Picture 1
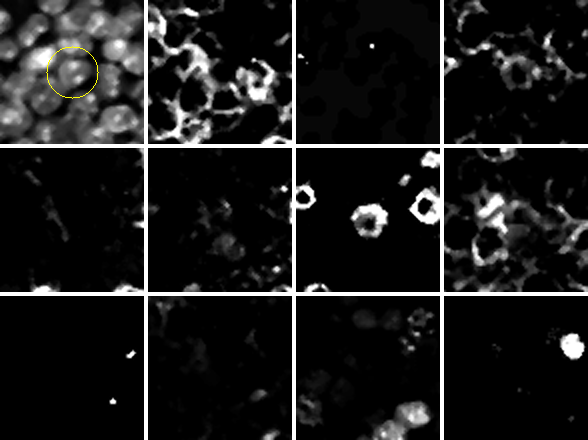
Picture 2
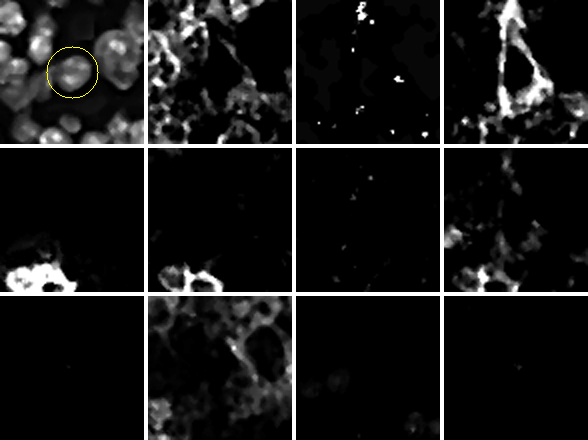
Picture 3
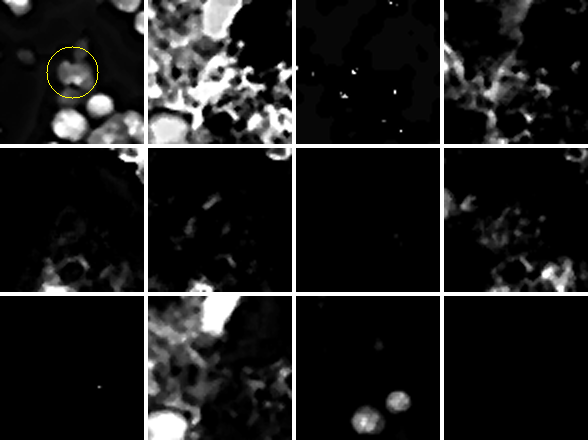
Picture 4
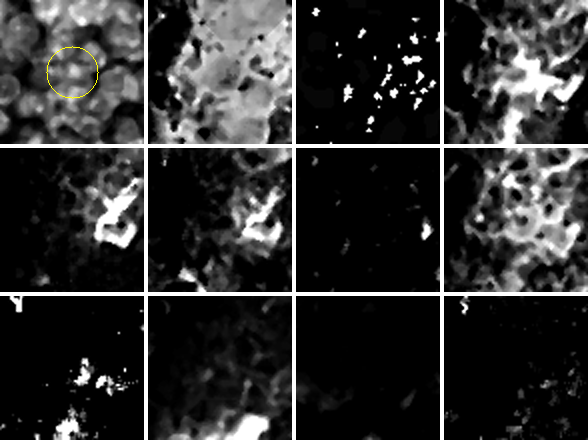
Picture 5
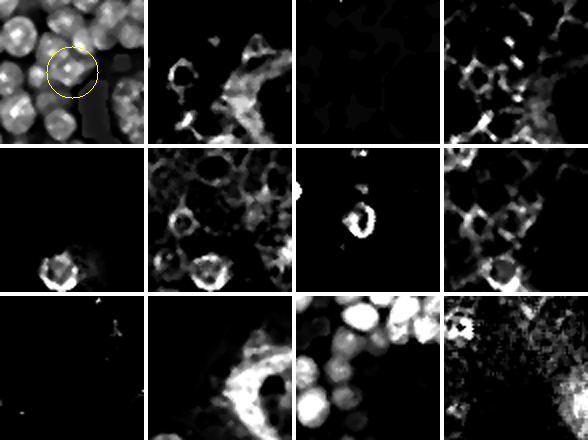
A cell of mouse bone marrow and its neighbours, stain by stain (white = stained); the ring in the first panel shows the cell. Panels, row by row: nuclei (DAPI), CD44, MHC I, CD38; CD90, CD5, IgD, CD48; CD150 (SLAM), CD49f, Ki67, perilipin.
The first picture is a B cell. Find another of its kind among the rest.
Picture 5.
